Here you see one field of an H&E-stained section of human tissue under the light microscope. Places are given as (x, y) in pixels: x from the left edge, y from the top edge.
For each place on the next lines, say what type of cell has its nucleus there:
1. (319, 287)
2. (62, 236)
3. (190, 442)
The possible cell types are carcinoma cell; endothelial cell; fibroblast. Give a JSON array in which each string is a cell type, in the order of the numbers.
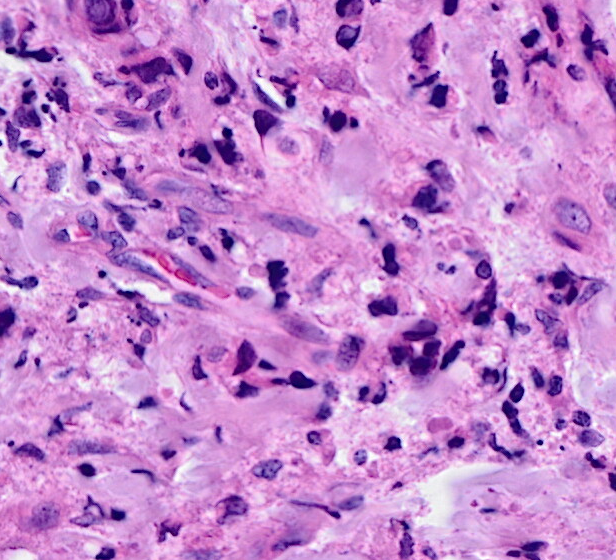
["fibroblast", "endothelial cell", "fibroblast"]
